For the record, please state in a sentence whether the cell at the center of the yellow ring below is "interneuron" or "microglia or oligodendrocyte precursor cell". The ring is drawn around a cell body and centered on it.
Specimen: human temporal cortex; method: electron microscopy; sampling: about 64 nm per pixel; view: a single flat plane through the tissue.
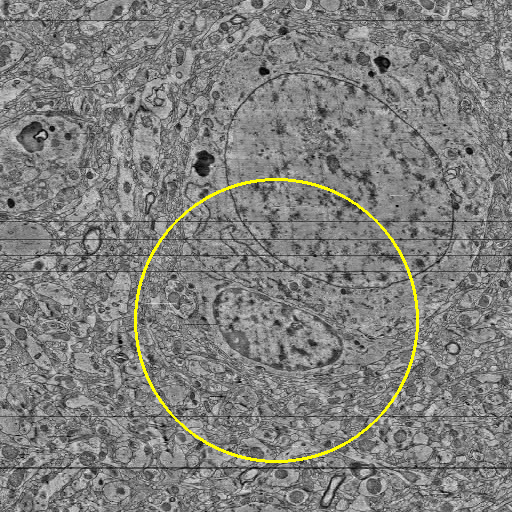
The cell at the ring's center is a microglial cell or oligodendrocyte precursor cell.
